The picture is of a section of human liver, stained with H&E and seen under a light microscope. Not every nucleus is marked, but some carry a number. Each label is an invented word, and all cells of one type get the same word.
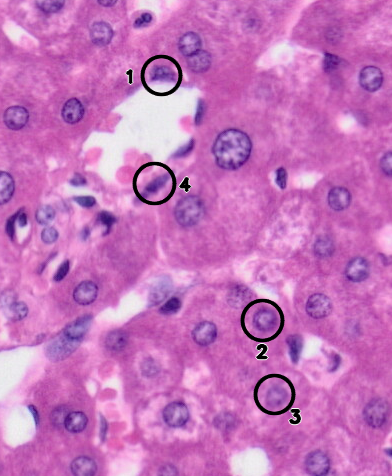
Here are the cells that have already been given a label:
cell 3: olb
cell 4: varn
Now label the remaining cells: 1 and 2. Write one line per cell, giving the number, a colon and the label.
1: varn
2: olb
